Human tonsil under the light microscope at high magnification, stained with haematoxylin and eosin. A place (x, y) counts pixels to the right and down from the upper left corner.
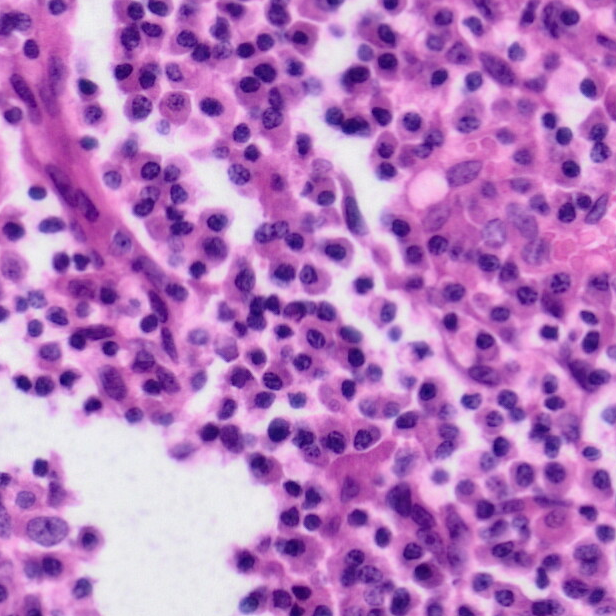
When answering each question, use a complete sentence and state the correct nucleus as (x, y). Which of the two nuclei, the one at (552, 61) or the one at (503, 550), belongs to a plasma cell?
It is the nucleus at (503, 550), not the other one, that belongs to a plasma cell.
